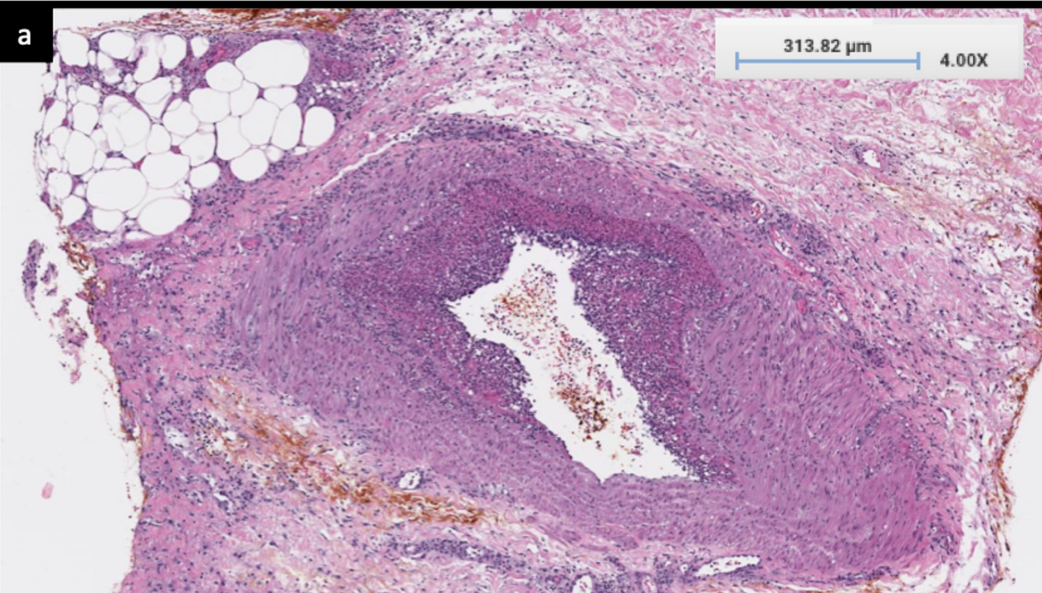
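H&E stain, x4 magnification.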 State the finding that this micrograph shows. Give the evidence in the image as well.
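A thick-walled vessel in the center has a wall crowded with dark purple nuclei. A dense, darker purple band lines the inner wall around the lumen. Cellular infiltrate extends from the inner layer out into the surrounding tissue. The answer: necrotizing vasculitis.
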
